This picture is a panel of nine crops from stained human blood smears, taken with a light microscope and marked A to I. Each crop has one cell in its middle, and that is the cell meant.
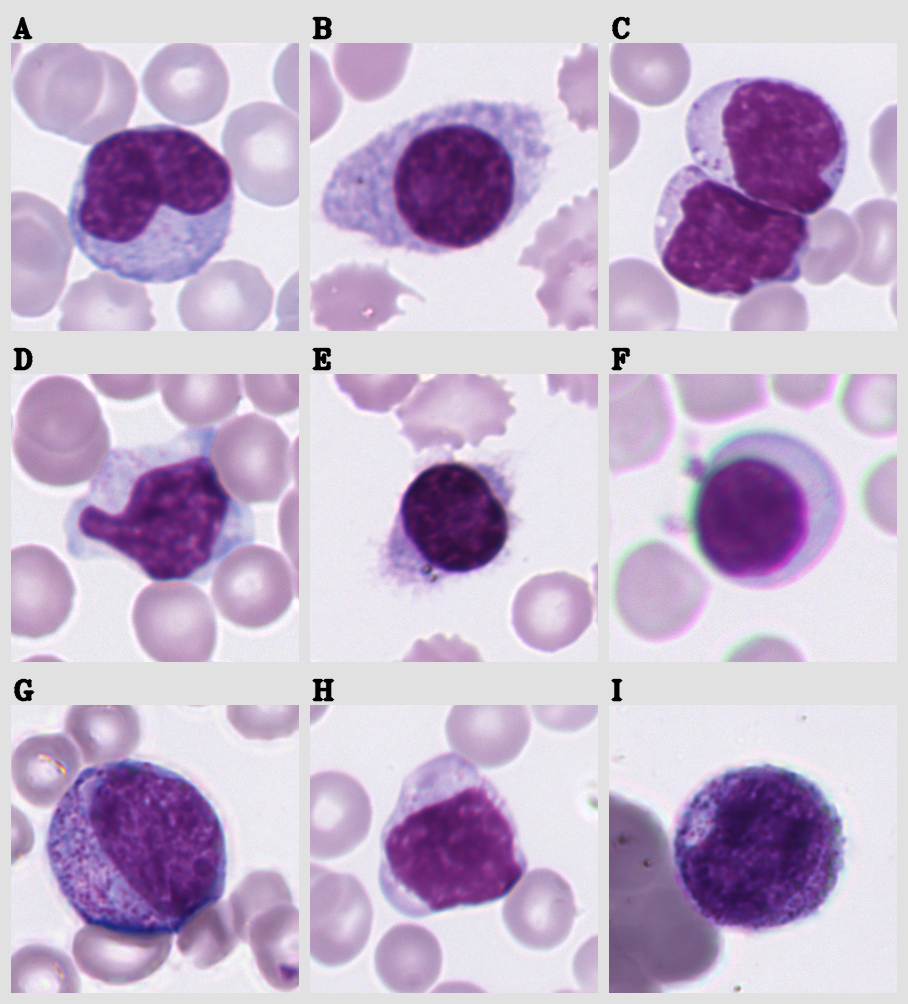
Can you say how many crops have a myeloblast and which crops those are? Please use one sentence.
The count here is zero, as not one crop shows myeloblasts.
